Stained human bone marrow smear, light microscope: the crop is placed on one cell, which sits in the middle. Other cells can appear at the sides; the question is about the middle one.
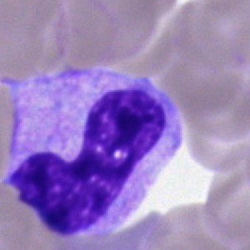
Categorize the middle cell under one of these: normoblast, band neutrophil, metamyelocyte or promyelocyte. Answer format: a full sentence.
Answering briefly, the cell in the middle is a band neutrophil.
